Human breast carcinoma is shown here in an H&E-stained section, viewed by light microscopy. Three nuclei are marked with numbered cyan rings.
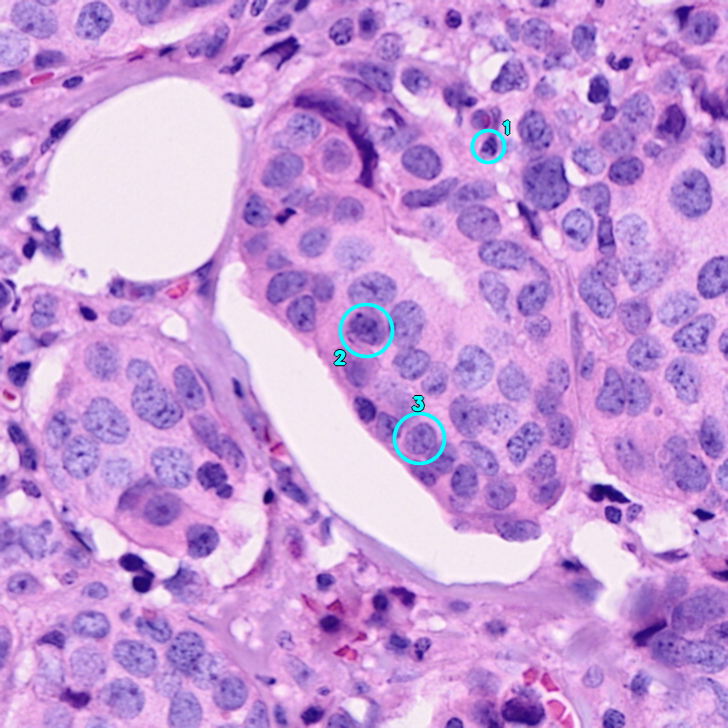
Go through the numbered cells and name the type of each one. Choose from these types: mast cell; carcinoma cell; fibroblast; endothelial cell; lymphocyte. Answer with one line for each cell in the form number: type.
1: lymphocyte
2: carcinoma cell
3: carcinoma cell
